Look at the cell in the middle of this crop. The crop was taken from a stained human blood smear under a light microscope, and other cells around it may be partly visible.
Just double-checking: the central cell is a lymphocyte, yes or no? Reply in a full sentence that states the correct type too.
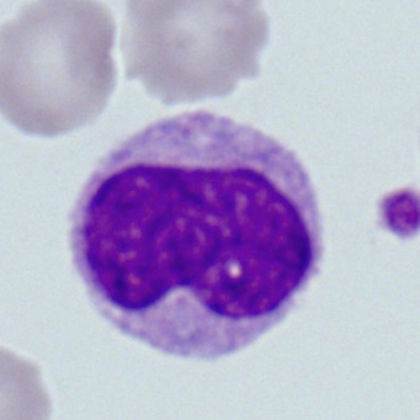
No, that would be a monocyte, not a lymphocyte, for the cell at the centre.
